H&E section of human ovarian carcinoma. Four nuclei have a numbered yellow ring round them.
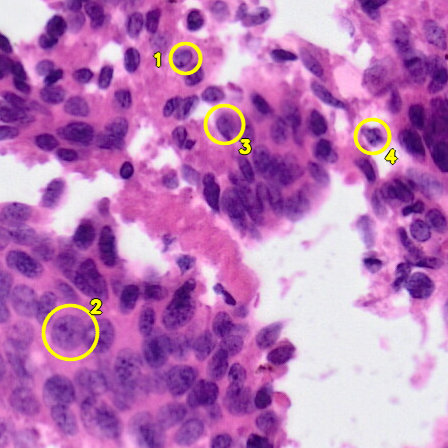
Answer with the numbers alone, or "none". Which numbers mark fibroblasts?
none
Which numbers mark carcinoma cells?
2, 3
